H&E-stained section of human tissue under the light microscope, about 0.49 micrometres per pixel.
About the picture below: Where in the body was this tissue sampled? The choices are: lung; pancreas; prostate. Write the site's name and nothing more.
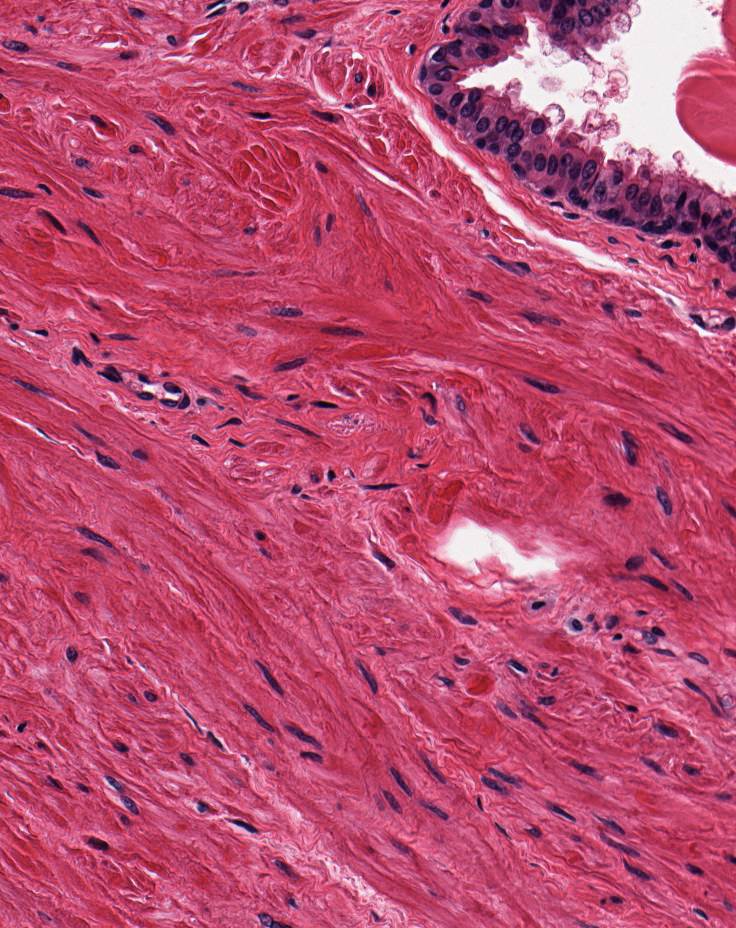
prostate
